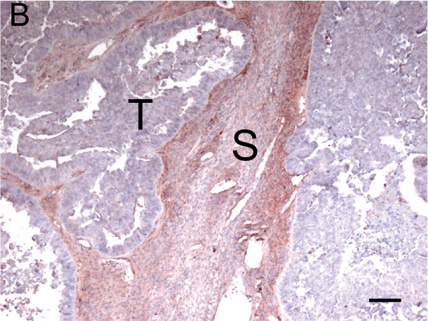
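Tumour tissue in which nests and papillary masses of crowded epithelial tumour cells with bluish nuclei, lined by irregular clefts and spaces, are separated by a broad band of stroma. The fibrous stroma between the tumour nests is stained strongly reddish-brown, whereas the tumour cell masses remain mostly pale blue.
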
